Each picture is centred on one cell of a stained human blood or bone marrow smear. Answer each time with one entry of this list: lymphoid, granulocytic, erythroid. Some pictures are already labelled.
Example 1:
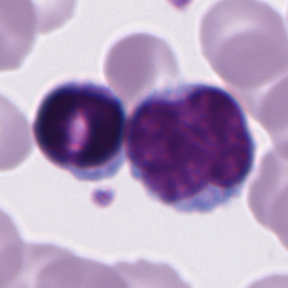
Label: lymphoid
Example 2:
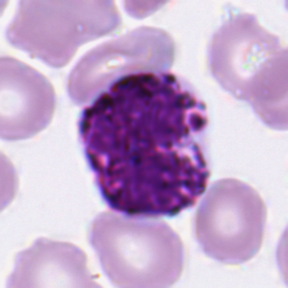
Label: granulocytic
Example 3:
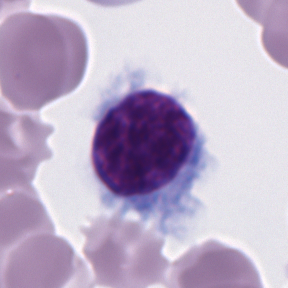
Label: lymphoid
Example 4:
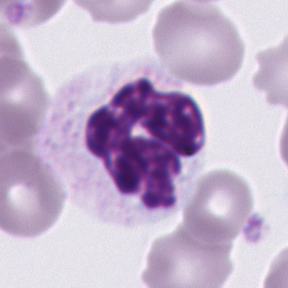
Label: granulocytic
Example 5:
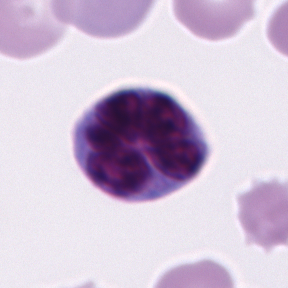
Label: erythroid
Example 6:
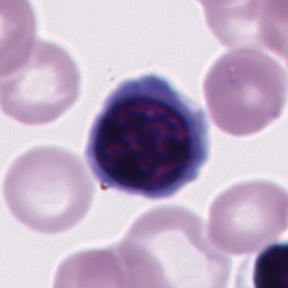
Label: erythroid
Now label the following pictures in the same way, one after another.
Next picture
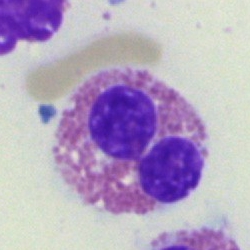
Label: granulocytic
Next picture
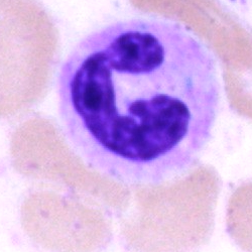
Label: granulocytic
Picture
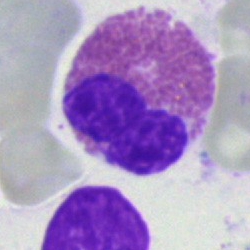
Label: granulocytic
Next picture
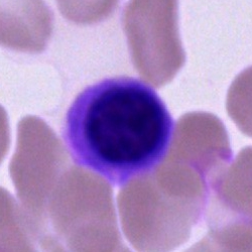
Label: erythroid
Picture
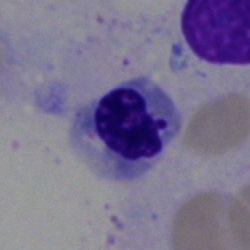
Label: erythroid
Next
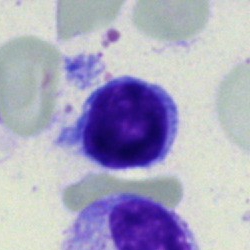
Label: lymphoid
